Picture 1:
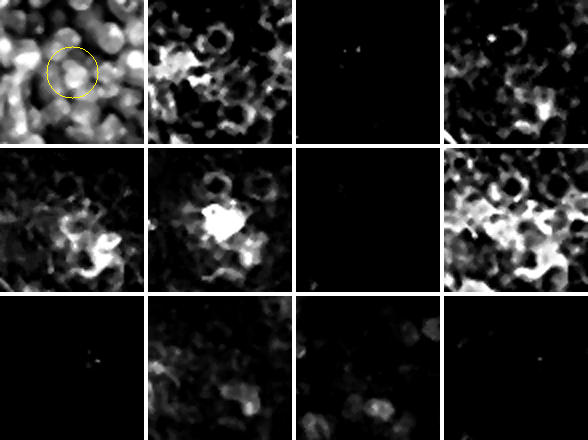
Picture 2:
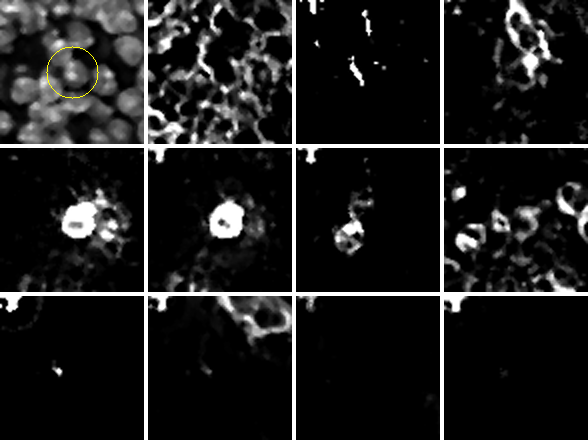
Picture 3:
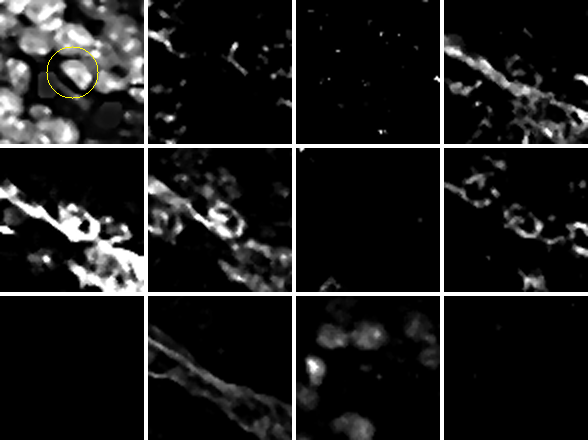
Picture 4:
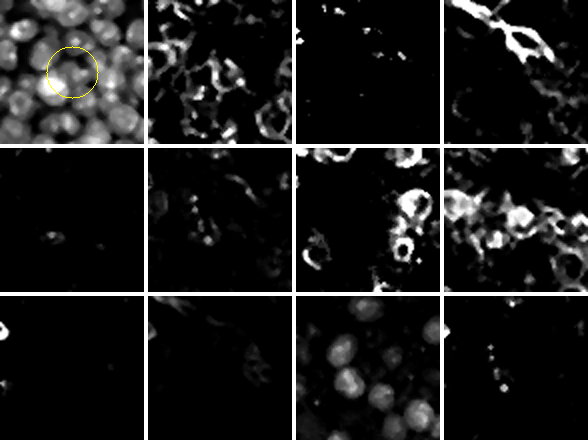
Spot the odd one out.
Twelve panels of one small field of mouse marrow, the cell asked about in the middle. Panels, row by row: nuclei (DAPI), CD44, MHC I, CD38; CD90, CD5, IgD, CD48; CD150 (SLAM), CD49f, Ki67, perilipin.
Picture 4 (a monocyte among T cells).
